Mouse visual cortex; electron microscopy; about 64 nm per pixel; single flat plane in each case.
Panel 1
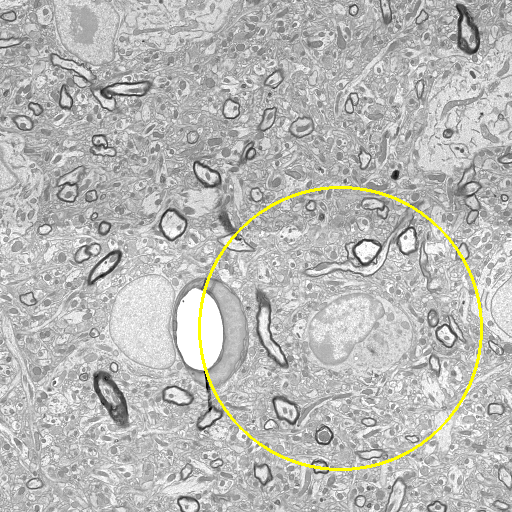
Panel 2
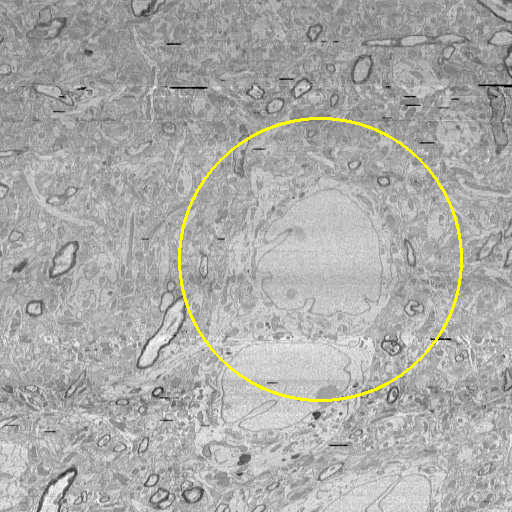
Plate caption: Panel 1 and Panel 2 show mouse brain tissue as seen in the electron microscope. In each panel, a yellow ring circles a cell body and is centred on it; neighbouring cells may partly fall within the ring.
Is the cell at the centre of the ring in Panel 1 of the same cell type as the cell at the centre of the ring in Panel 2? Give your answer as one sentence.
No, the two cells are of two types.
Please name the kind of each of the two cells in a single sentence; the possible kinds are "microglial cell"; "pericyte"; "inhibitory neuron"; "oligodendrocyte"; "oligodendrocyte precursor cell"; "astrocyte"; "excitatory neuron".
In the first picture the ring is centred on an oligodendrocyte, and in the second on an excitatory neuron.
